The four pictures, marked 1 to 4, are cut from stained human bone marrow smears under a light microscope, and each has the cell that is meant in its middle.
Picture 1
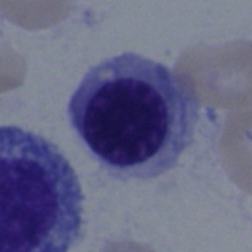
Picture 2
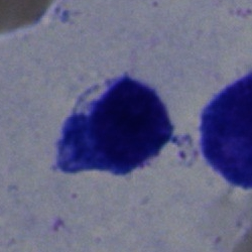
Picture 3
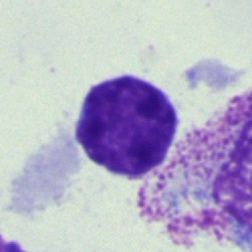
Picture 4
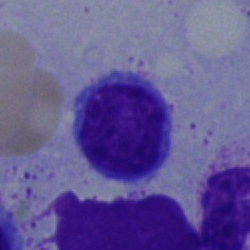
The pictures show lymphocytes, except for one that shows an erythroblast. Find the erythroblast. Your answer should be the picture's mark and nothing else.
1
